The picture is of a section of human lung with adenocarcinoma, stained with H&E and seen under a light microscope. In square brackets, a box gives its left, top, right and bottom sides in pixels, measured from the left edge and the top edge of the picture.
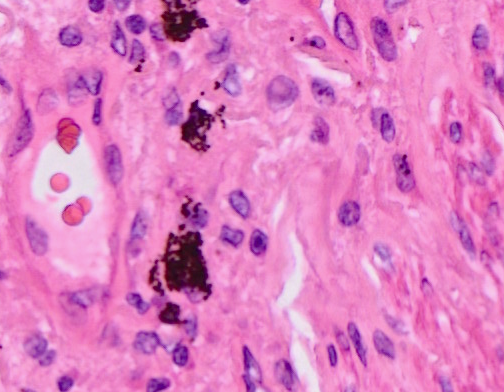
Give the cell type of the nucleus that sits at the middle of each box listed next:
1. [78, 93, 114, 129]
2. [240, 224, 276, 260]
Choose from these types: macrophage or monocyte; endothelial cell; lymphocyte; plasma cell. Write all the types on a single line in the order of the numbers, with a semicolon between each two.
endothelial cell; lymphocyte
